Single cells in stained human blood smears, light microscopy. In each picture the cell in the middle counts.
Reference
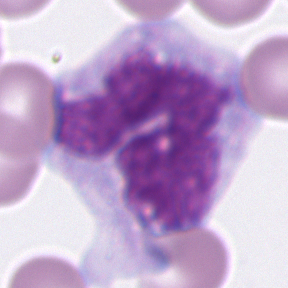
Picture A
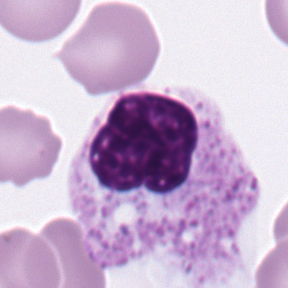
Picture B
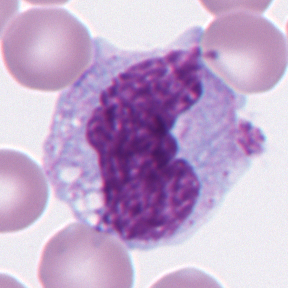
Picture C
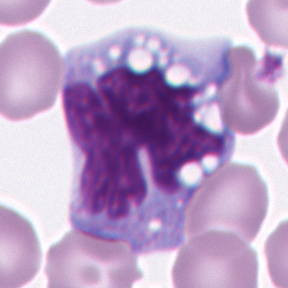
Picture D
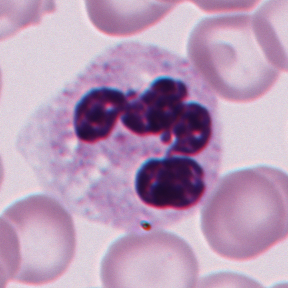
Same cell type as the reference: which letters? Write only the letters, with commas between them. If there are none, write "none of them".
B, C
